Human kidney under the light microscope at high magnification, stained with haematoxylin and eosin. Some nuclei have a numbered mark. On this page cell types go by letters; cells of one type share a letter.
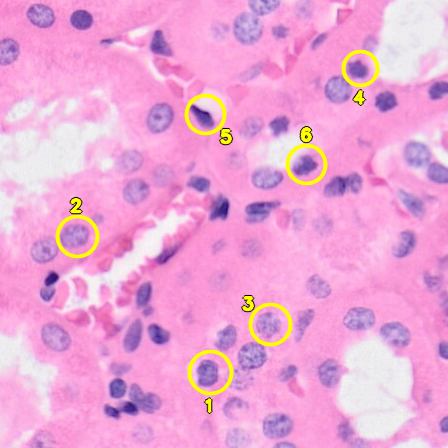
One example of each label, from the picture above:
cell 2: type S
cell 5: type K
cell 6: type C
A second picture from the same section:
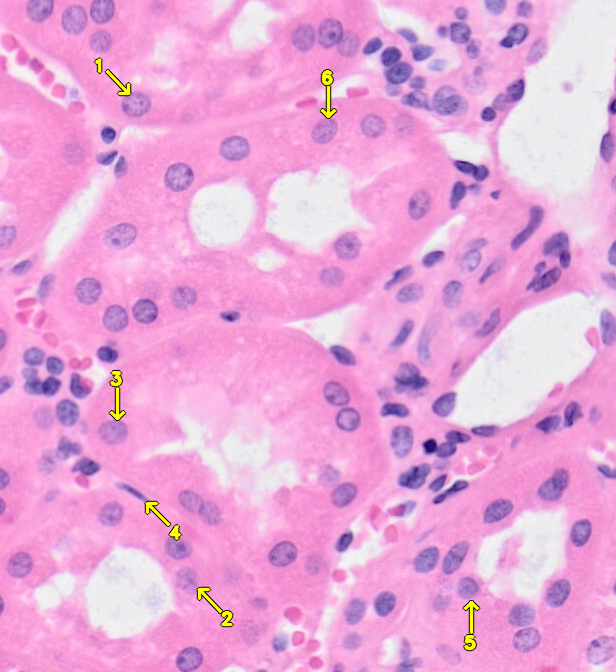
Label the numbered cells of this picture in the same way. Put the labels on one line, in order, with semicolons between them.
type S; type S; type S; type K; type C; type S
